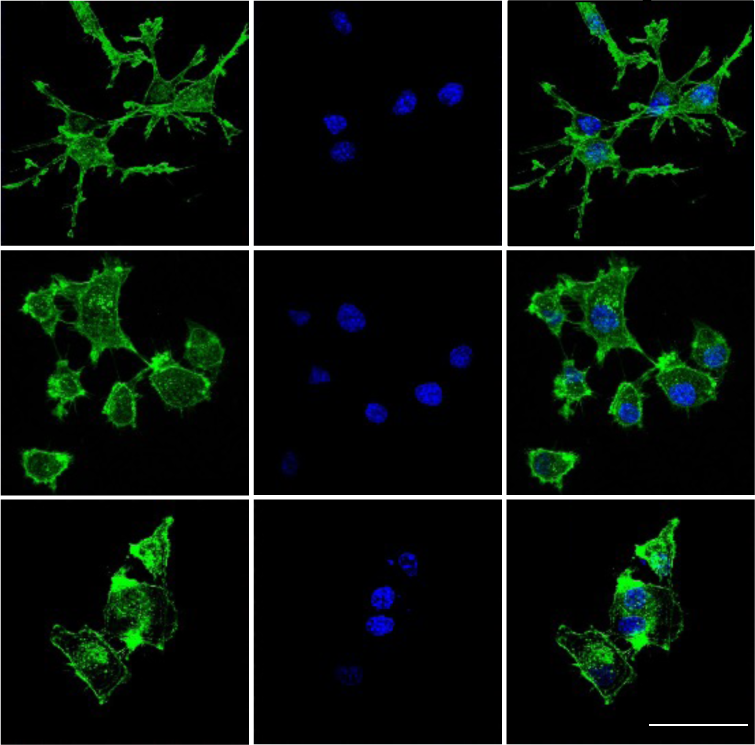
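In the top row the cells send out many long, thin, branching processes that reach toward and touch neighbouring cells. In the two lower rows the cells are broader and more rounded, with a spread sheet of cytoplasm and few or only short processes.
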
